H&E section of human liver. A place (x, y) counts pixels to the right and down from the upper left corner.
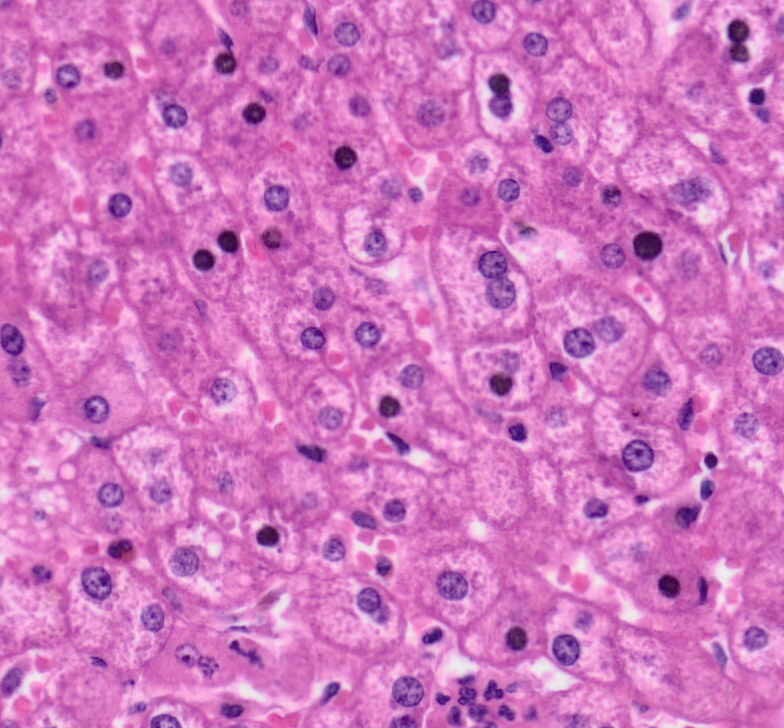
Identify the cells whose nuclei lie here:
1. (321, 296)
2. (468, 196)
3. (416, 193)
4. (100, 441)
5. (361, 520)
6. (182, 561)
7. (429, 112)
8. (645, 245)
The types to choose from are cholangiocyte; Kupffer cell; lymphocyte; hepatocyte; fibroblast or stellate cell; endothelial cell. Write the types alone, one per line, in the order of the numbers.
hepatocyte
hepatocyte
lymphocyte
fibroblast or stellate cell
Kupffer cell
hepatocyte
hepatocyte
hepatocyte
